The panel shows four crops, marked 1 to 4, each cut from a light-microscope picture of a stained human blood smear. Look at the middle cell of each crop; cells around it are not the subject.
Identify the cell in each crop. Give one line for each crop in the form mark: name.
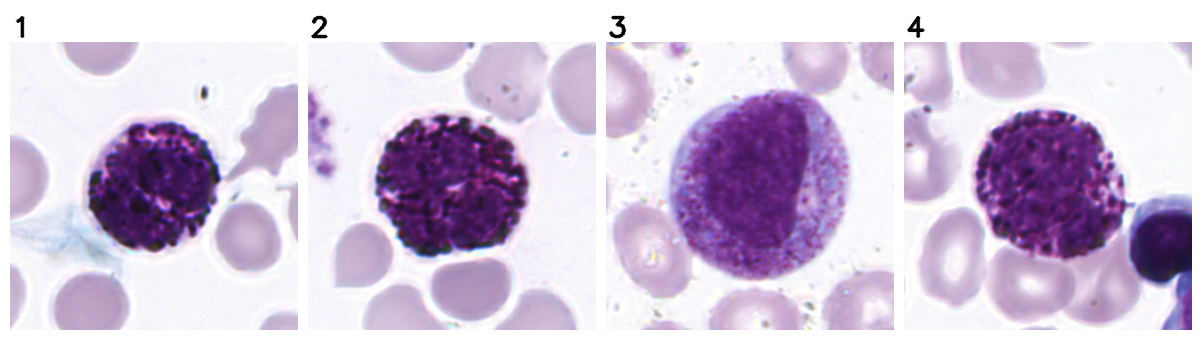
1: basophil
2: basophil
3: promyelocyte
4: basophil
